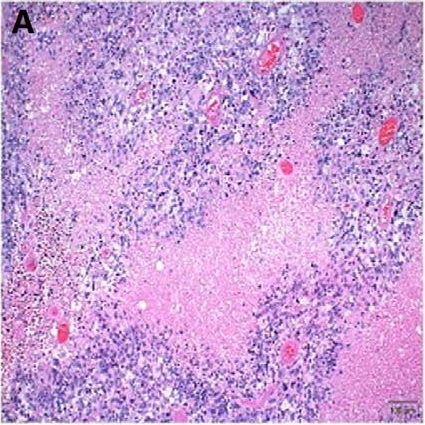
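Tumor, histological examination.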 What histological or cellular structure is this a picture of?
palisade pattern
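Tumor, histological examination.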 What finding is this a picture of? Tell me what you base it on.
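Broad pale pink regions almost devoid of intact nuclei. The pale regions have irregular, map-like outlines. Scattered small dark nuclear debris lies within the pale regions.
Conclusion: irregular necrotic areas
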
